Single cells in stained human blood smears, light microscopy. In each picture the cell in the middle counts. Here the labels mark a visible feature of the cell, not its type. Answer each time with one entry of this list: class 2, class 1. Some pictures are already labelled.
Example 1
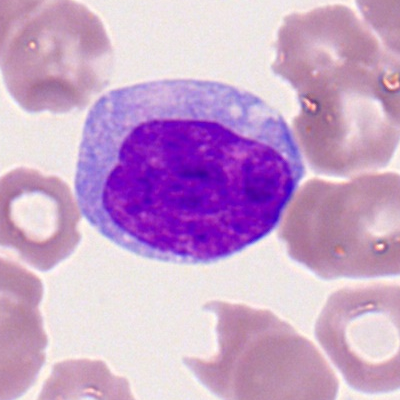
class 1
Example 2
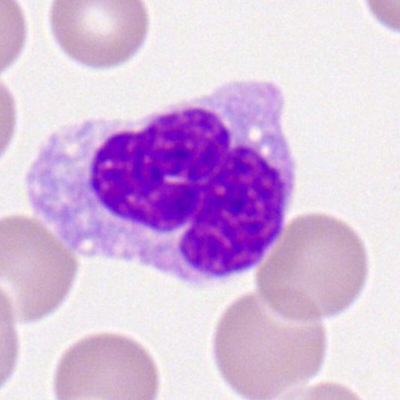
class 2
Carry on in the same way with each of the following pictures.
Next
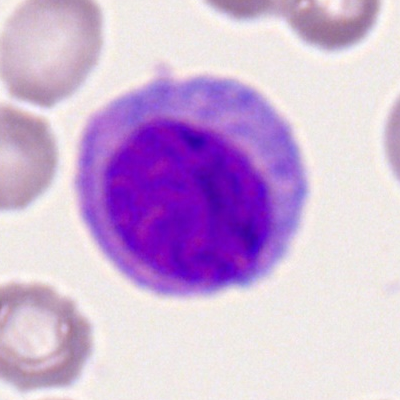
class 1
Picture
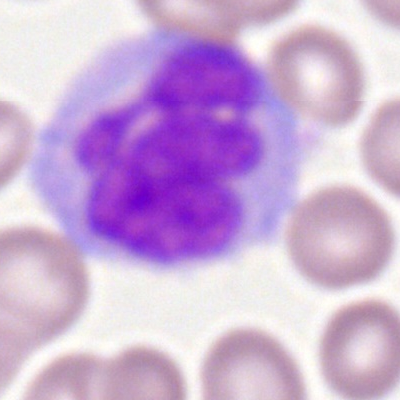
class 2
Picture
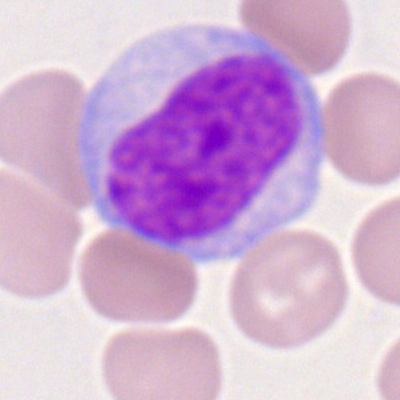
class 1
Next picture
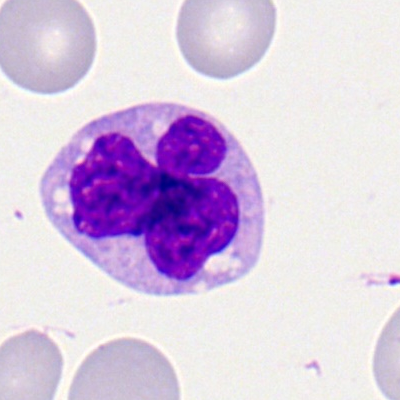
class 2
